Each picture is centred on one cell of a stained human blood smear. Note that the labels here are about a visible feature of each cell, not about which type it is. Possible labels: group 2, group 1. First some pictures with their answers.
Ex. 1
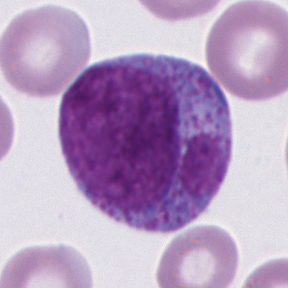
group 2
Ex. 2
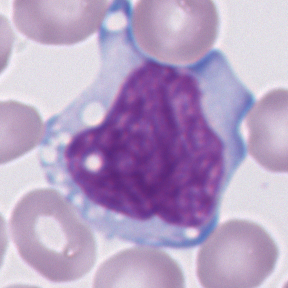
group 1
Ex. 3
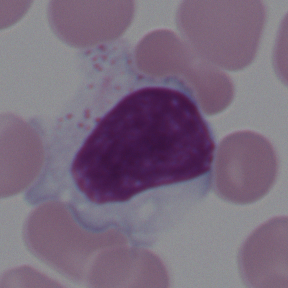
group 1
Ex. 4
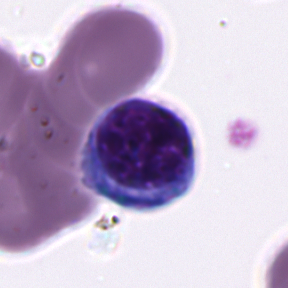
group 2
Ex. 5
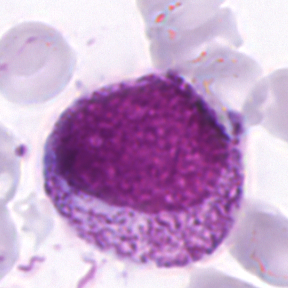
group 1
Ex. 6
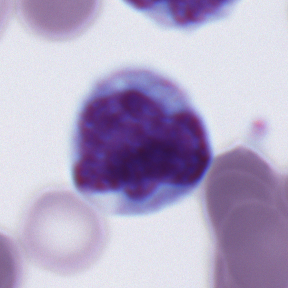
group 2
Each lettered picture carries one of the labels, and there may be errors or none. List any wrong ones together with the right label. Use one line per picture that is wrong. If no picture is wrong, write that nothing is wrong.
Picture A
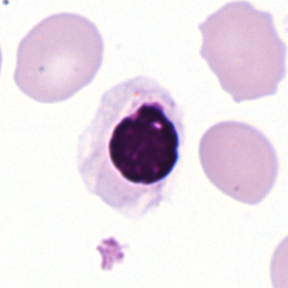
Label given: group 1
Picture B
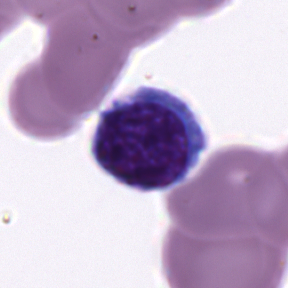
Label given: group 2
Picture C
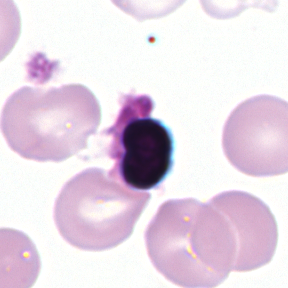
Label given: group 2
Nothing to fix; every label fits.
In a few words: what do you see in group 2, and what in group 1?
group 2, scant cytoplasm; group 1, abundant cytoplasm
